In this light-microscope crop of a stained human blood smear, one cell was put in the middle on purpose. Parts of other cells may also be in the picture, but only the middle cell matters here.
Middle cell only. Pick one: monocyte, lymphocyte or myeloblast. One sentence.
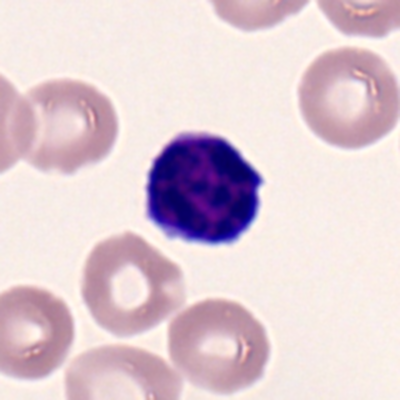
The cell in the middle of this crop is a lymphocyte.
